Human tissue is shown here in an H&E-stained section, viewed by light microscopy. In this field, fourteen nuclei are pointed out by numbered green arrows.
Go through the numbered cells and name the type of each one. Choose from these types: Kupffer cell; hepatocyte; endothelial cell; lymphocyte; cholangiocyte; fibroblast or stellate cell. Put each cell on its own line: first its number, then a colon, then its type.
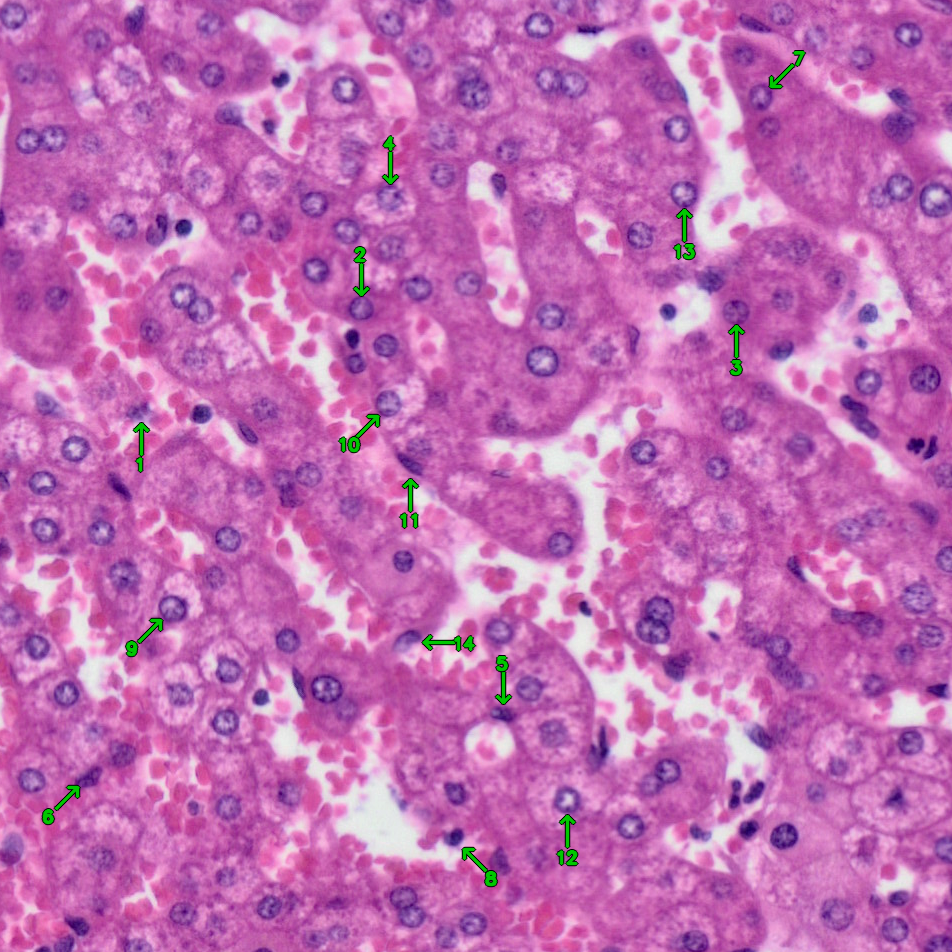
1: endothelial cell
2: hepatocyte
3: hepatocyte
4: hepatocyte
5: fibroblast or stellate cell
6: fibroblast or stellate cell
7: hepatocyte
8: lymphocyte
9: hepatocyte
10: hepatocyte
11: fibroblast or stellate cell
12: hepatocyte
13: hepatocyte
14: Kupffer cell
